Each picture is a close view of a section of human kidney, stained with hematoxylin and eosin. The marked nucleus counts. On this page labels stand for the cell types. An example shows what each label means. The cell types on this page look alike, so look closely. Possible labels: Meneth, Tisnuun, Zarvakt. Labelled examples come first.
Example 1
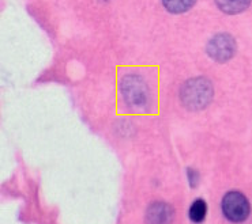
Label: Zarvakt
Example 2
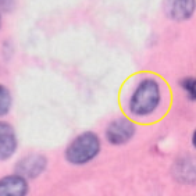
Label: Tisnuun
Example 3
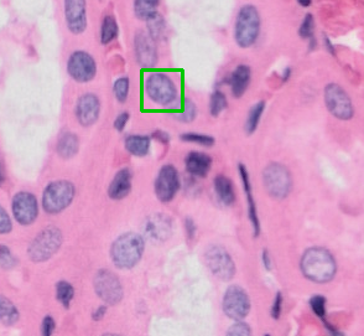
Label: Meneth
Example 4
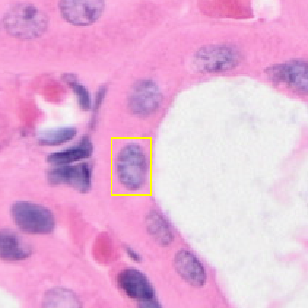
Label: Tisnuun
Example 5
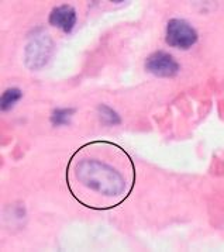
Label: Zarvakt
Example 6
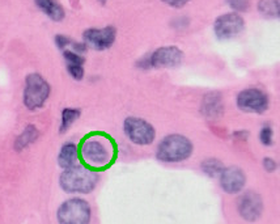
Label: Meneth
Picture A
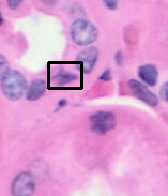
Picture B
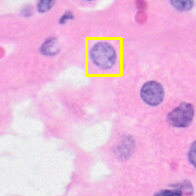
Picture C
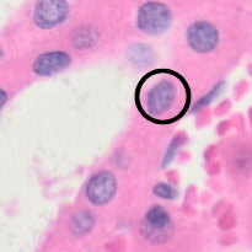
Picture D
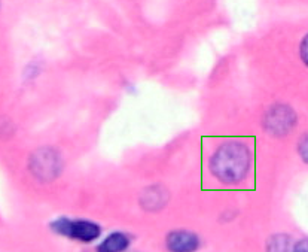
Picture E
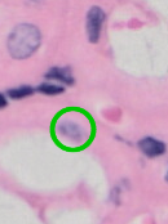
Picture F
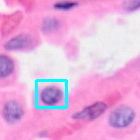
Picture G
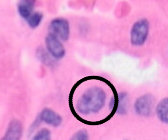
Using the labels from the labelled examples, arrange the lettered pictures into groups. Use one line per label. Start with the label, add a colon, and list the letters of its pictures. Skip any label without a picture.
Meneth: A, G
Tisnuun: C, E, F
Zarvakt: B, D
